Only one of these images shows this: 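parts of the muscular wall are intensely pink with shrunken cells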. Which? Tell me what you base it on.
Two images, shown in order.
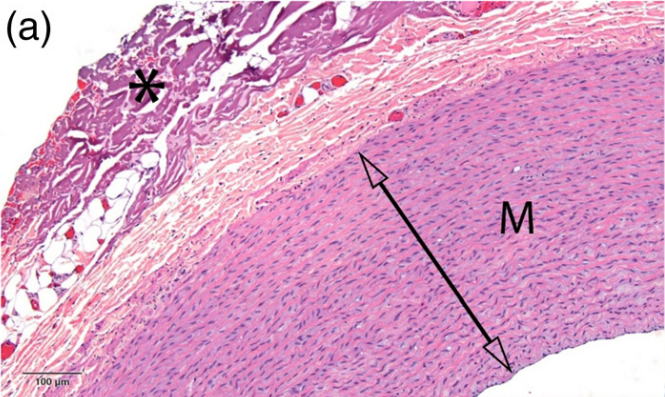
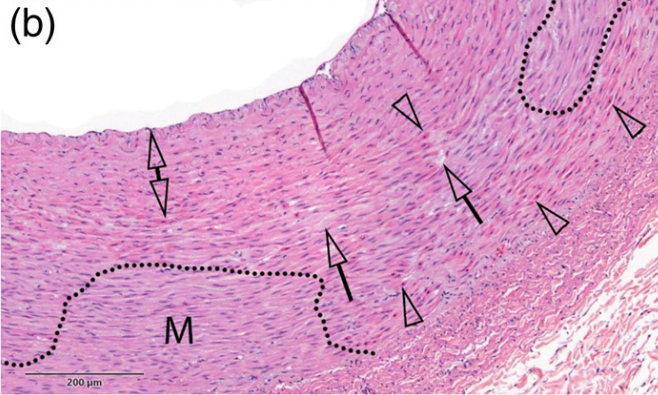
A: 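The second image. Second image: bands of the wall are a deeper pink with pale, cell-poor zones beside them. First image: the wall is an even pink with regularly spaced elongated nuclei.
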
